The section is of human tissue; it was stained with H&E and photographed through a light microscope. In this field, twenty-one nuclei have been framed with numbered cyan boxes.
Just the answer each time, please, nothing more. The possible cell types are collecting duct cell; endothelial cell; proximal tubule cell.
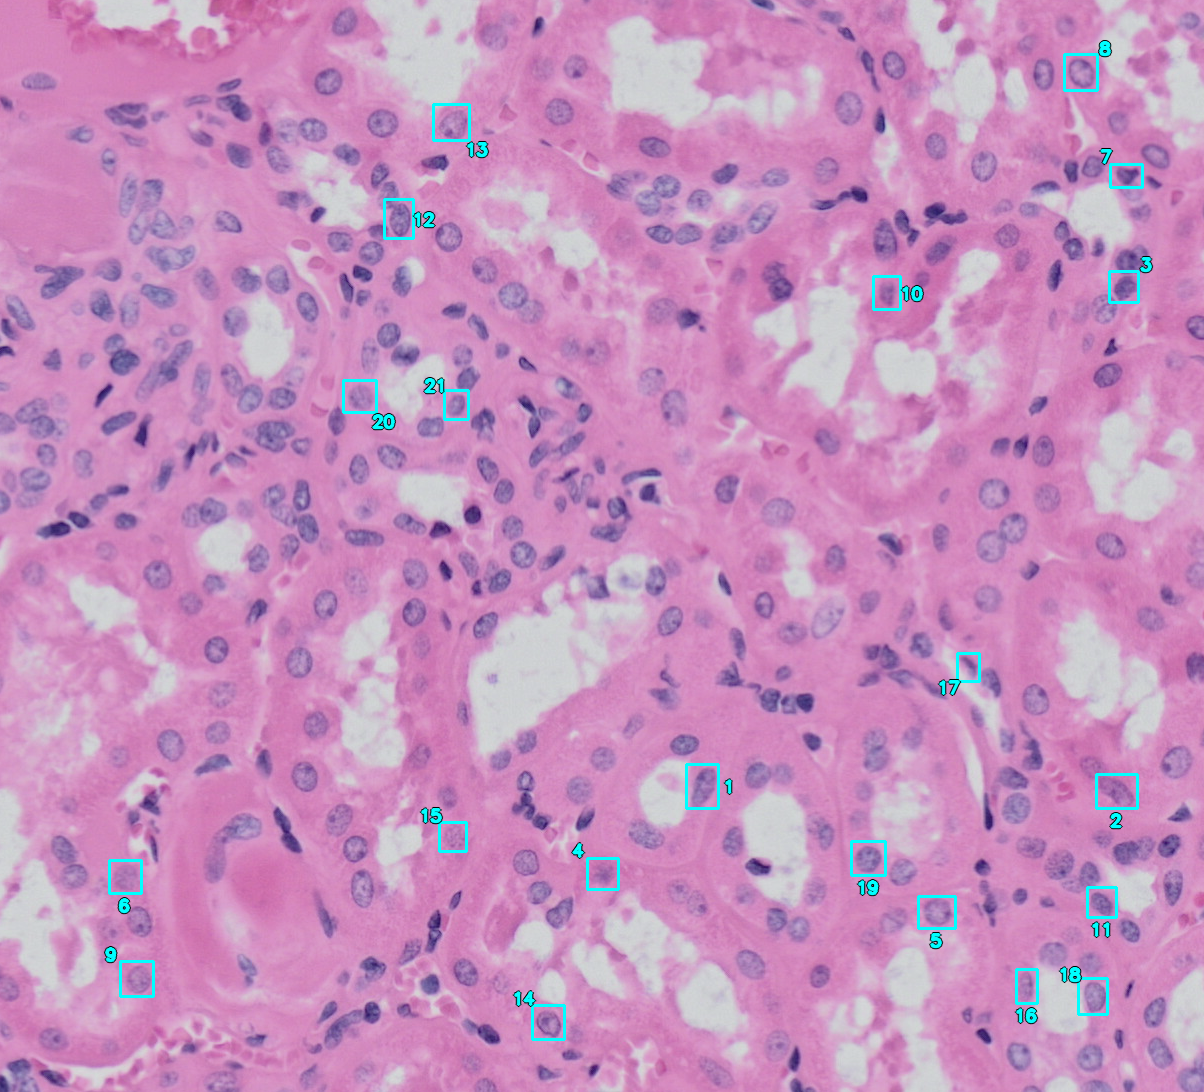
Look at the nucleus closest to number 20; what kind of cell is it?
endothelial cell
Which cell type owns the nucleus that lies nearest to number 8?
proximal tubule cell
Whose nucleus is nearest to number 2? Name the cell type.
proximal tubule cell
